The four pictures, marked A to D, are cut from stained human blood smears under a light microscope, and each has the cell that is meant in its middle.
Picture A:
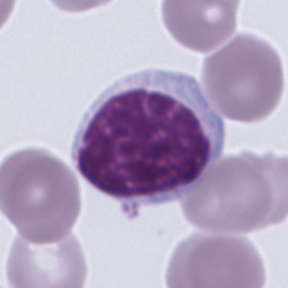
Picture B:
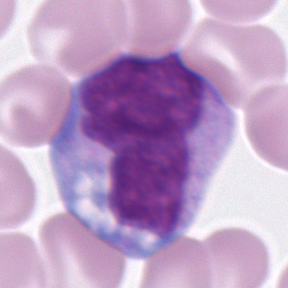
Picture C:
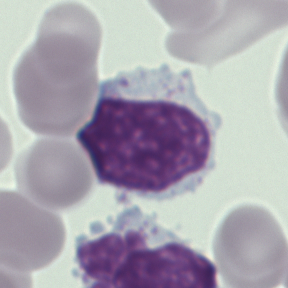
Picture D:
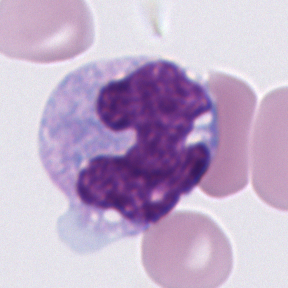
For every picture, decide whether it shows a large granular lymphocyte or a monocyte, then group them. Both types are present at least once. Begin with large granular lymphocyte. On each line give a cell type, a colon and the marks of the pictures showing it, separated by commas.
large granular lymphocyte: A, C
monocyte: B, D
